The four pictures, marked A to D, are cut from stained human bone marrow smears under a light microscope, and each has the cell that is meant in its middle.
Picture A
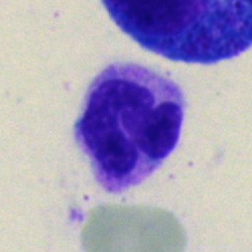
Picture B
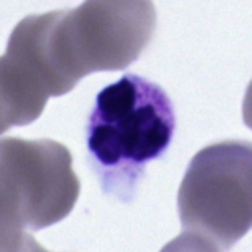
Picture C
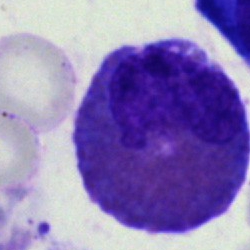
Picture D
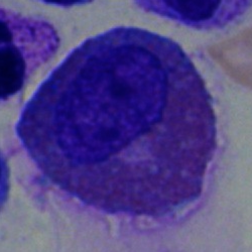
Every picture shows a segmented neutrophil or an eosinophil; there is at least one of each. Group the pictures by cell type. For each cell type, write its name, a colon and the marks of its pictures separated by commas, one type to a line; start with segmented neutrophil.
segmented neutrophil: A, B
eosinophil: C, D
